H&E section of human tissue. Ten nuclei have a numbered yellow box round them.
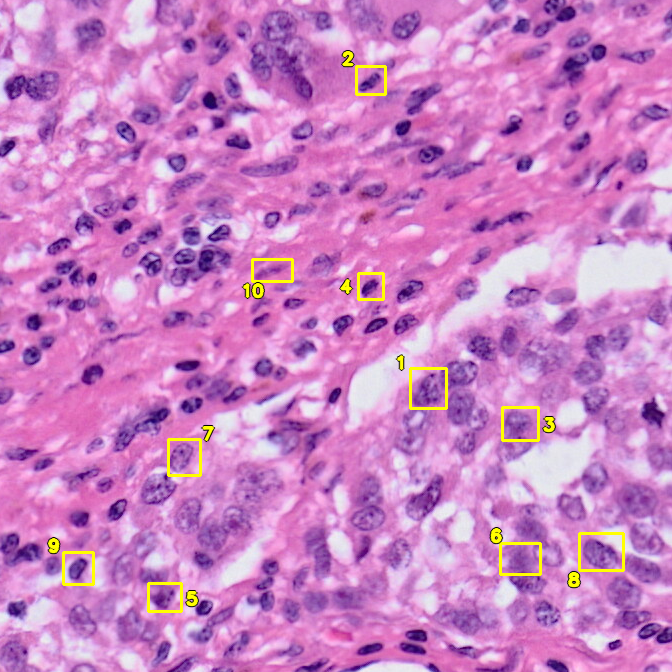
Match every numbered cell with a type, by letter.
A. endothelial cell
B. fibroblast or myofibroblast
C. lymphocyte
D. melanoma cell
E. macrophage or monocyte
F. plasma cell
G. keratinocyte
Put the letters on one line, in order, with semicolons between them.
D; C; D; C; D; D; D; D; C; B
